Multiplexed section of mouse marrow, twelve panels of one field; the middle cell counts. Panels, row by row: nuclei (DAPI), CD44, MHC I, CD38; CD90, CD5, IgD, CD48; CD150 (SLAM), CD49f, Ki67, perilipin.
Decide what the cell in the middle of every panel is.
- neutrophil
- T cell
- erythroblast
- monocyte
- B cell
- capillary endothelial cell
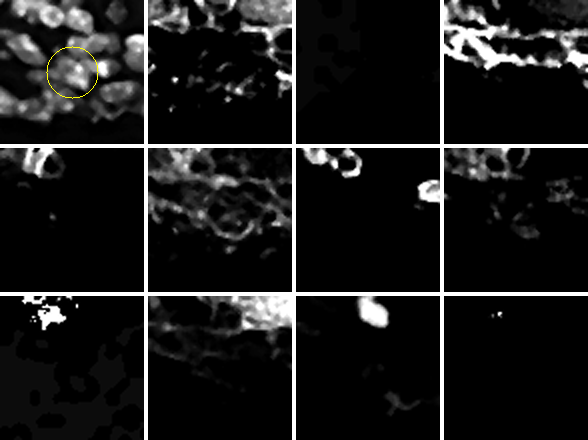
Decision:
capillary endothelial cell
